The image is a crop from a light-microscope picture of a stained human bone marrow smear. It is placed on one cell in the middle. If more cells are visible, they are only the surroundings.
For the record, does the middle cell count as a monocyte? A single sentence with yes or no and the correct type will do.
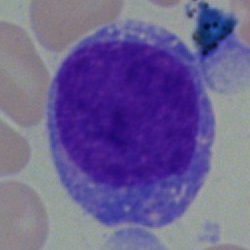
No, the central cell does not count as a monocyte; it is a blast.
